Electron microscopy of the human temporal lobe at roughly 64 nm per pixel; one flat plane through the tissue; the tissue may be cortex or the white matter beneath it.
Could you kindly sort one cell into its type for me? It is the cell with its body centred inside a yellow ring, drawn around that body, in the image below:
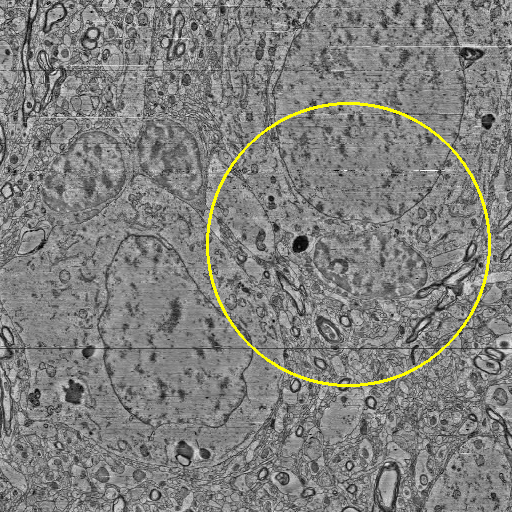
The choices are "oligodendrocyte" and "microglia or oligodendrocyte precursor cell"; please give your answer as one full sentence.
The cell whose body lies centred in the yellow ring here is an oligodendrocyte.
